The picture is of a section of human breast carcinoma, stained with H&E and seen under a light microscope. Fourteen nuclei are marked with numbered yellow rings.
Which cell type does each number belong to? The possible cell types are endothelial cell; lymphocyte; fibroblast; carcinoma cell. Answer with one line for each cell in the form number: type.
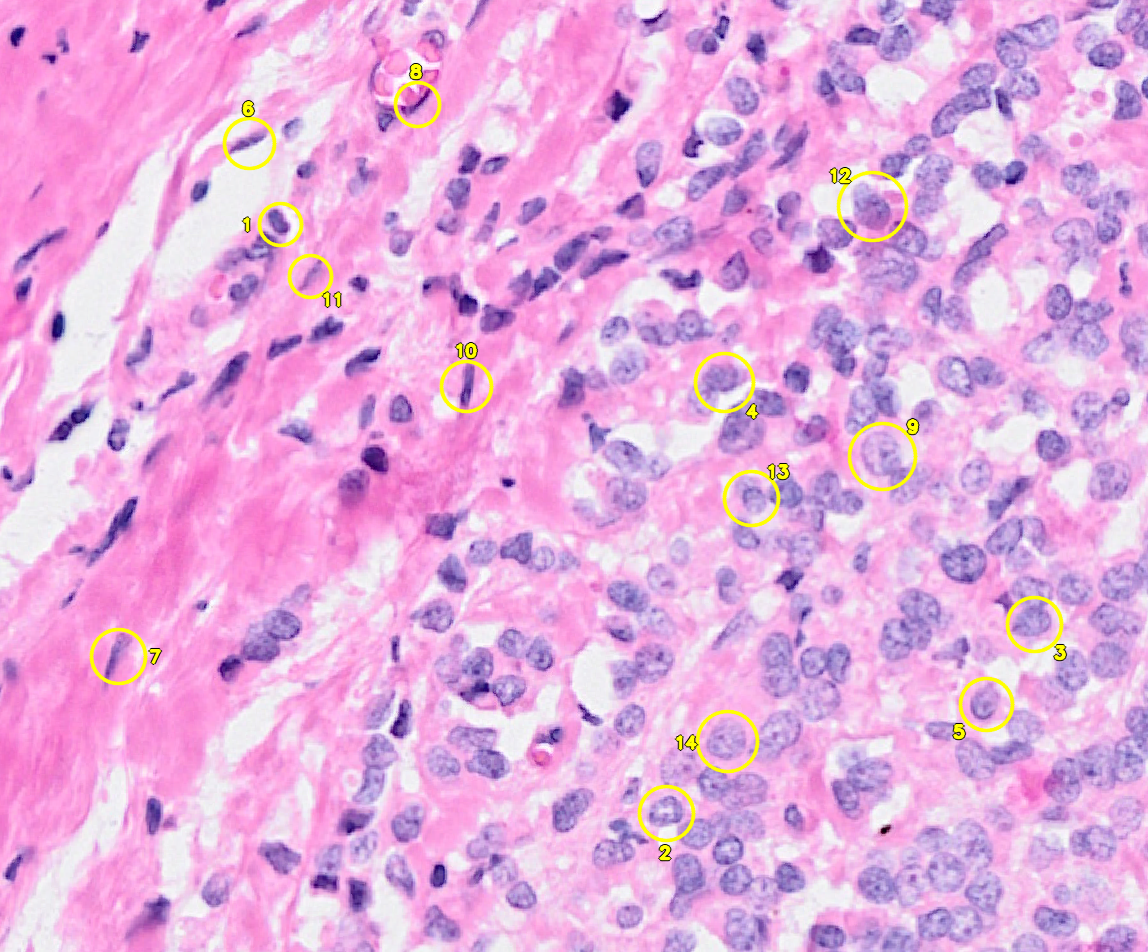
1: lymphocyte
2: carcinoma cell
3: carcinoma cell
4: carcinoma cell
5: carcinoma cell
6: fibroblast
7: fibroblast
8: endothelial cell
9: carcinoma cell
10: fibroblast
11: fibroblast
12: carcinoma cell
13: carcinoma cell
14: carcinoma cell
